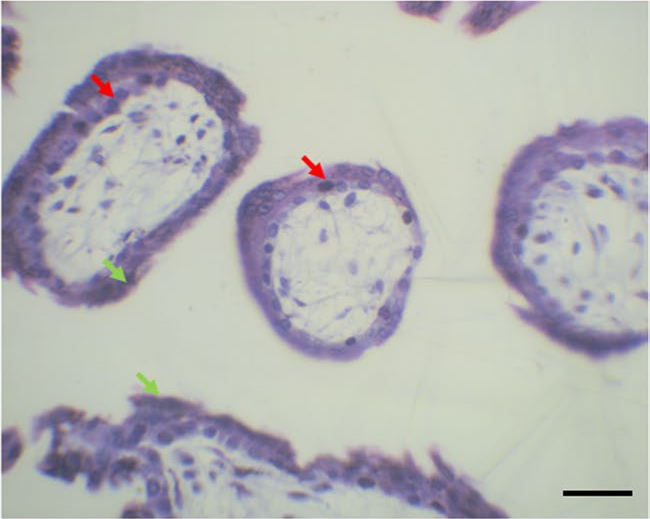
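These are chorionic villi cut in cross-section, each bordered by a purple layer of villous trophoblast cells around a pale, loose stromal core. The trophoblast layer has dark, crowded nuclei and stains more deeply than the core. Inside, the stroma is a loose, pale network holding scattered spindle-shaped and oval stromal cells. In places the covering layer looks darker and less regular, with a ragged edge.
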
